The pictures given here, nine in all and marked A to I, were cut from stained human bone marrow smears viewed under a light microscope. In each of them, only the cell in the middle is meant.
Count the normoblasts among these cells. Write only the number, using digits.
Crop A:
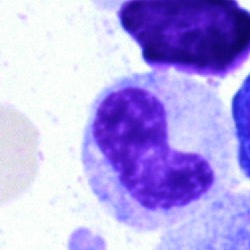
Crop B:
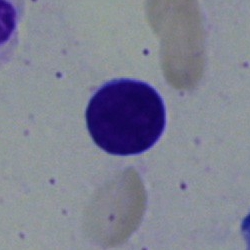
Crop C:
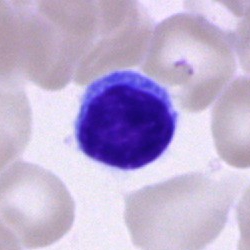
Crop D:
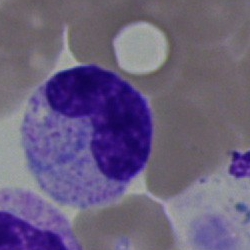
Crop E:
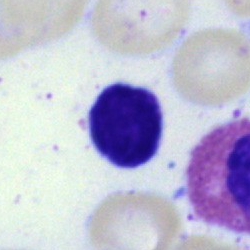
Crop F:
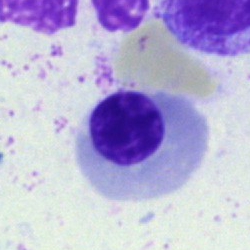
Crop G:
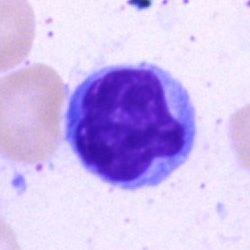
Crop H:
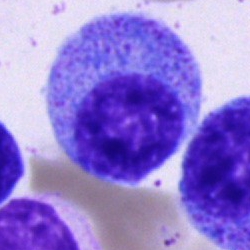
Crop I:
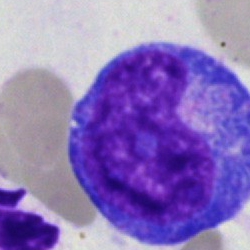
1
